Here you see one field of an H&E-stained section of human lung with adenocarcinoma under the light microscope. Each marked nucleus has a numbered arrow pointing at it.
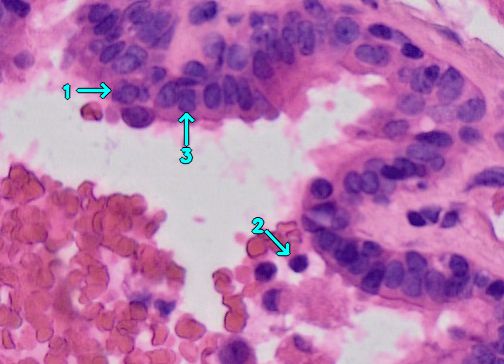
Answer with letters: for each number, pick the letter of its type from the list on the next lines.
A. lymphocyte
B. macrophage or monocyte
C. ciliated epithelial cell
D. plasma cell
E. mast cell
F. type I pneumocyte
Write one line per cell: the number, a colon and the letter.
1: C
2: A
3: C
